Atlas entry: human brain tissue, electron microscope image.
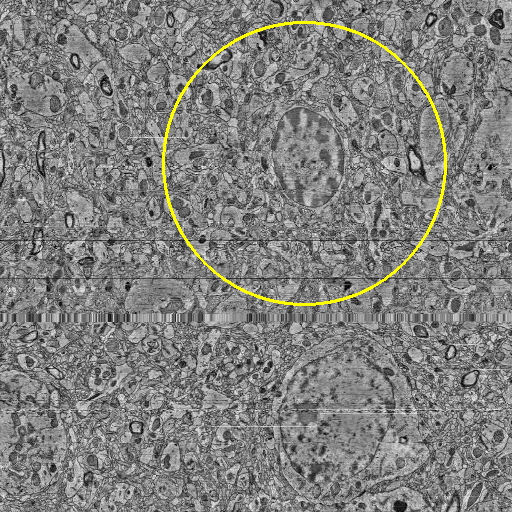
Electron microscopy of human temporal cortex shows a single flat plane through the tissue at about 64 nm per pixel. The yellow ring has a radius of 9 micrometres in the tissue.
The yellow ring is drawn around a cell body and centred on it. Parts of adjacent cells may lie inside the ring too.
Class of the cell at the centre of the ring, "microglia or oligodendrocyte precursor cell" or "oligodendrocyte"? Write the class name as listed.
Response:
microglia or oligodendrocyte precursor cell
